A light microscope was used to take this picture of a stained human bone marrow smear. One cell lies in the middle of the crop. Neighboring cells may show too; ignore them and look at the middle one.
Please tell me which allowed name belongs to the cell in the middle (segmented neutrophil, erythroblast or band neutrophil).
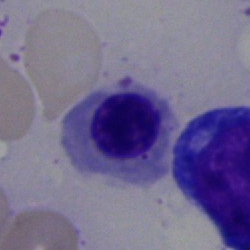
erythroblast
